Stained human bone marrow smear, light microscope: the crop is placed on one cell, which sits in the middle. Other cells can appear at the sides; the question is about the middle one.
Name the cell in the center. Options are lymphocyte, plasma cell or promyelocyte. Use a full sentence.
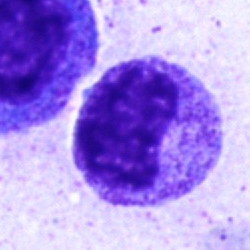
This particular crop is centered on a promyelocyte.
